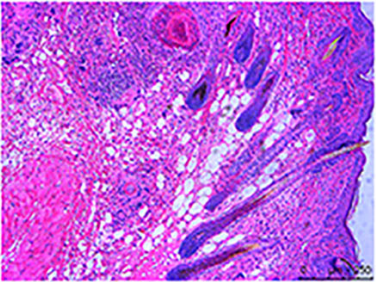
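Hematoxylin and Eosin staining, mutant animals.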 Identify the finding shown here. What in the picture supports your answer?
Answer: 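Dense clusters of small dark purple nuclei crowd the dermis. The cell-dense areas lie between fat cells and hair follicles. That points to this answer: inflammatory infiltrates.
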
